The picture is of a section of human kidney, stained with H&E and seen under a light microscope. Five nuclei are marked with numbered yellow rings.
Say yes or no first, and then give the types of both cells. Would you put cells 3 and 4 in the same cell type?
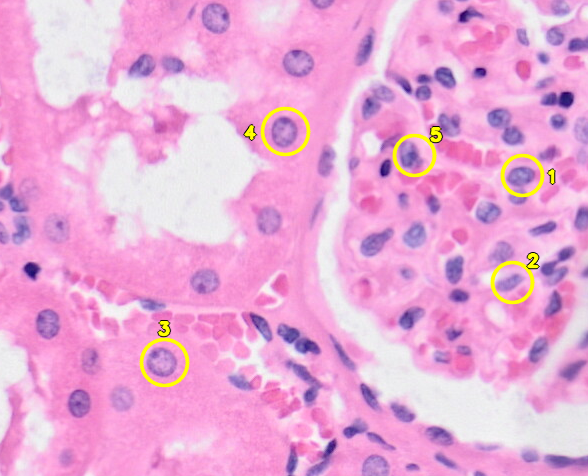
Yes, both are proximal tubule cells.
